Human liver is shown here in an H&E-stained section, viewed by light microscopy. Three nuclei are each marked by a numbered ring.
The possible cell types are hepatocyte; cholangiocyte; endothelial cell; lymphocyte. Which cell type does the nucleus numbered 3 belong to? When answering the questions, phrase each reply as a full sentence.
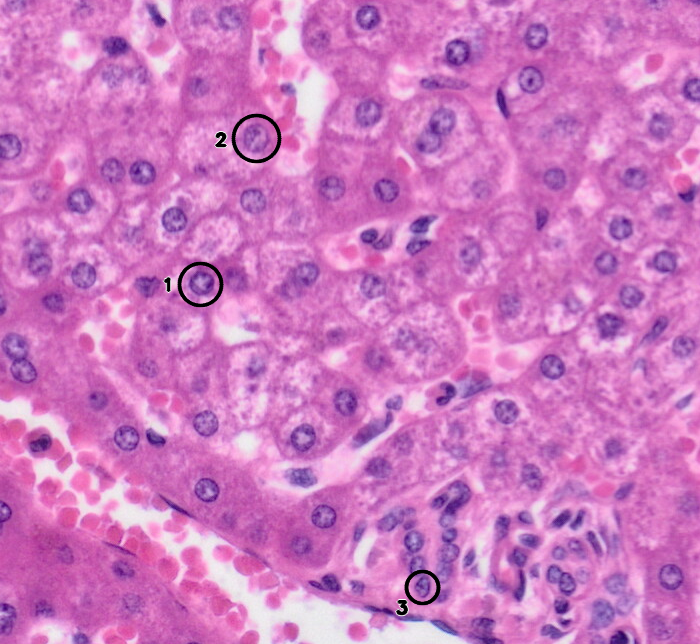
The cell given label 3 is a cholangiocyte.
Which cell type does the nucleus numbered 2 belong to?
The mark numbered 2 indicates the nucleus of a hepatocyte.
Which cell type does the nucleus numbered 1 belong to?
The cell whose nucleus carries the number 1 is a hepatocyte.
